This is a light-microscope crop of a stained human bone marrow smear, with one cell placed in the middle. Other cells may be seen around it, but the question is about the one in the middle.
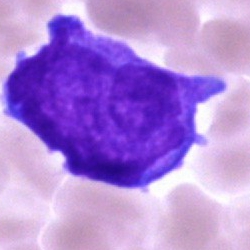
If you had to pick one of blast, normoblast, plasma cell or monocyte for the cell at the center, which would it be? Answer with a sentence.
The identification for the central cell is a blast.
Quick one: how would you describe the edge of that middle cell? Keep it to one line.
The cell membrane follows an uneven contour, either ragged or bearing projections.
